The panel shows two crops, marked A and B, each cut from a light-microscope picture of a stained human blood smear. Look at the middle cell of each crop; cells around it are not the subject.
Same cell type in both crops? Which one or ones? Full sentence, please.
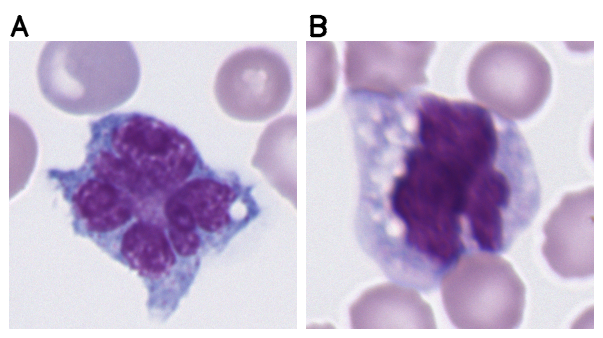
Yes, the two crops show monocytes, both of them.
